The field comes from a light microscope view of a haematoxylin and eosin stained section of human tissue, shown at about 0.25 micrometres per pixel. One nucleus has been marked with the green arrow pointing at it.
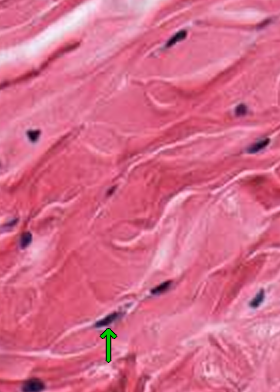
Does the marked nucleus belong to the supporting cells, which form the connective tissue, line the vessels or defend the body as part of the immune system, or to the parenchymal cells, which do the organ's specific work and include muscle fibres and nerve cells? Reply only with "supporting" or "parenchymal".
supporting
